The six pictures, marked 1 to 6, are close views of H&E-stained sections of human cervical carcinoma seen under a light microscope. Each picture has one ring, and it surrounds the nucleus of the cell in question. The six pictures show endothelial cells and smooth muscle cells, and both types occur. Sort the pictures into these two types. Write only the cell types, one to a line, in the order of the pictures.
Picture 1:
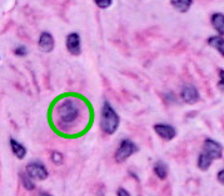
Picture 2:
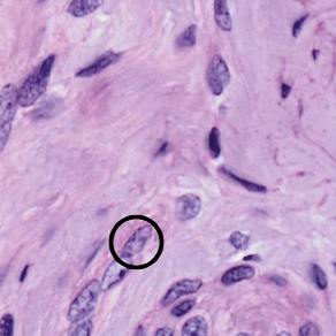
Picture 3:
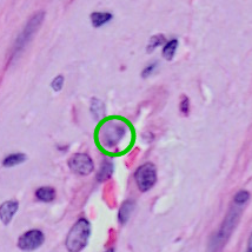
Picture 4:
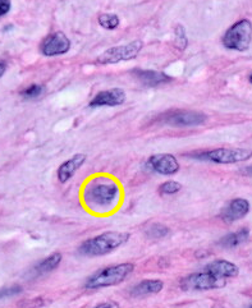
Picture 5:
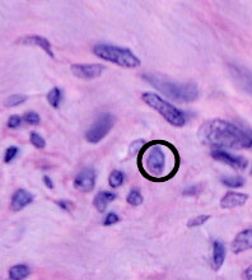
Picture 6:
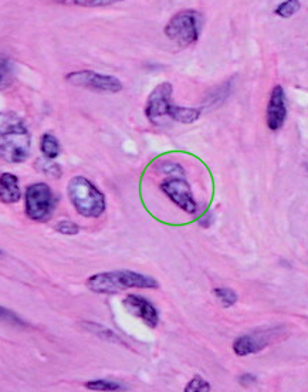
smooth muscle cell
endothelial cell
endothelial cell
smooth muscle cell
smooth muscle cell
endothelial cell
